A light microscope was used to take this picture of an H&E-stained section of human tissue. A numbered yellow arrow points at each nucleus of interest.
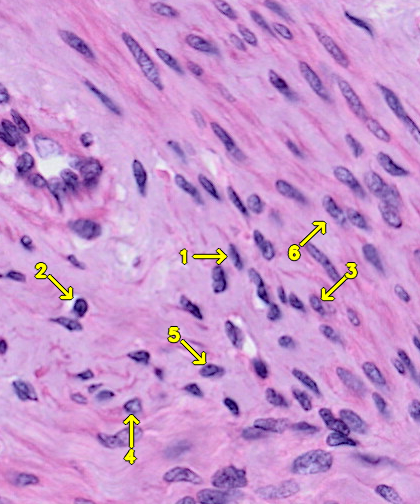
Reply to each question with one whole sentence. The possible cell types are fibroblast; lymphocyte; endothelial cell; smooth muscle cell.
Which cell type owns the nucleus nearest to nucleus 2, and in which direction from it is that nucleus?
The nearest one is a fibroblast, found below and to the left of nucleus 2.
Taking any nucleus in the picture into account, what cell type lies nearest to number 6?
It is a smooth muscle cell whose nucleus is nearest to number 6.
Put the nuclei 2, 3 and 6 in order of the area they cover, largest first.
By area, largest first, they run 6, 2, 3.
